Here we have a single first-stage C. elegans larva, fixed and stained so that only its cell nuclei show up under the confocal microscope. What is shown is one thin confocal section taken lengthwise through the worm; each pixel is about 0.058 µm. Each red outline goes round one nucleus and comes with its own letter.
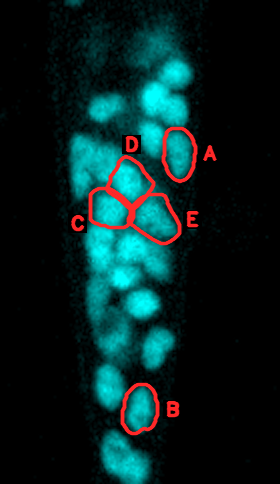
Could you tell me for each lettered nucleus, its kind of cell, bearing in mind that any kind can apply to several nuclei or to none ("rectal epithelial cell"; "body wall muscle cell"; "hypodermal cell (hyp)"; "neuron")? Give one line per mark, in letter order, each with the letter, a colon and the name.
A: rectal epithelial cell
B: hypodermal cell (hyp)
C: neuron
D: rectal epithelial cell
E: rectal epithelial cell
